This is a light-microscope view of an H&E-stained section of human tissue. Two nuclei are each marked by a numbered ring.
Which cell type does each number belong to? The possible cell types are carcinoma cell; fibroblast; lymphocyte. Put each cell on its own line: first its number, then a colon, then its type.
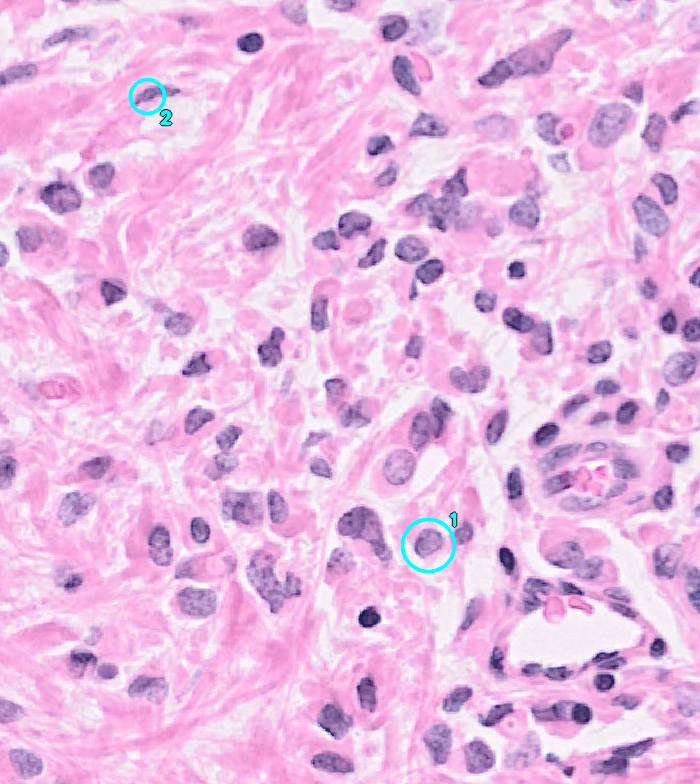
1: carcinoma cell
2: fibroblast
